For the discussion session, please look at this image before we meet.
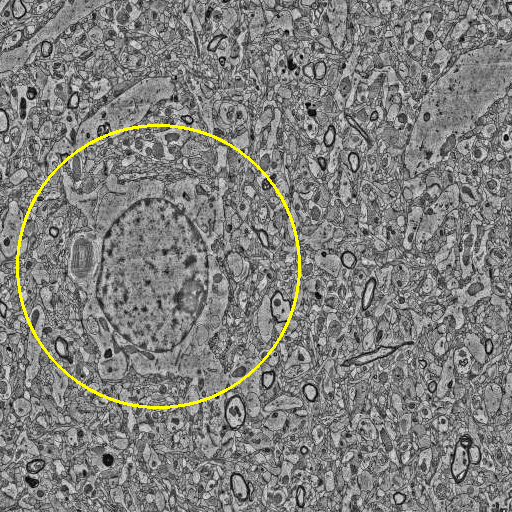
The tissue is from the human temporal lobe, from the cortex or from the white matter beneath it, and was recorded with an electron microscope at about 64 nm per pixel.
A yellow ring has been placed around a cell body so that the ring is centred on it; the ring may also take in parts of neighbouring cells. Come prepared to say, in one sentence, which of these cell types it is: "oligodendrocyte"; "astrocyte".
The cell centred in the ring is an astrocyte.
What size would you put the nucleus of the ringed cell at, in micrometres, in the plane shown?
The ringed cell's nucleus is about 10 micrometres long and 8 micrometres wide in this plane.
